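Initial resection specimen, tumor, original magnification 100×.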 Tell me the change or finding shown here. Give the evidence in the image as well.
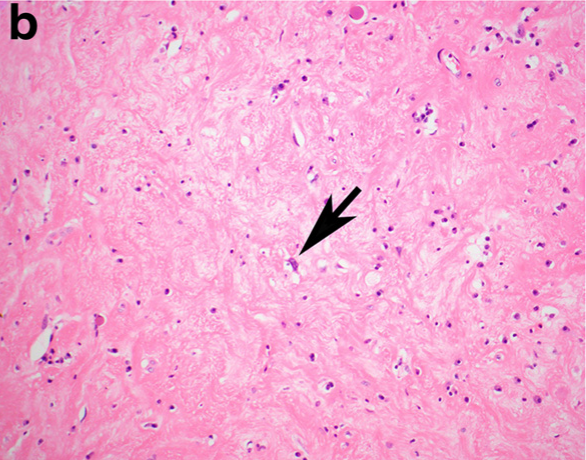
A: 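Extensive fibrosis. Most of the field is pale pink fibrillary collagenous stroma. Cells are sparse and scattered through the stroma.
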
